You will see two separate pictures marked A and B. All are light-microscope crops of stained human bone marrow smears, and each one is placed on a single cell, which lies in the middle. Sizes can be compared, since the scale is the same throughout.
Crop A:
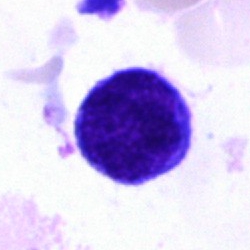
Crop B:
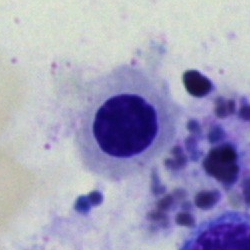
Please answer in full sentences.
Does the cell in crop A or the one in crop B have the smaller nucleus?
The nucleus in crop B is smaller; the one in crop A has about 3 times its area.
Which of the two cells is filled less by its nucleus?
The nucleus fills less of the cell in crop B than in crop A.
